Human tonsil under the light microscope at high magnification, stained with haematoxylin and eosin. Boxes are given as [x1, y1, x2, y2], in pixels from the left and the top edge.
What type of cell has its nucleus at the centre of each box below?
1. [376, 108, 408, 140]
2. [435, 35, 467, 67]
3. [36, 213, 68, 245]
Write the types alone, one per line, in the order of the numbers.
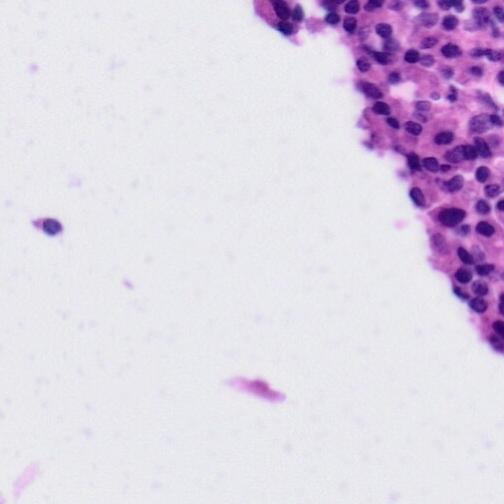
plasma cell
plasma cell
small lymphocyte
